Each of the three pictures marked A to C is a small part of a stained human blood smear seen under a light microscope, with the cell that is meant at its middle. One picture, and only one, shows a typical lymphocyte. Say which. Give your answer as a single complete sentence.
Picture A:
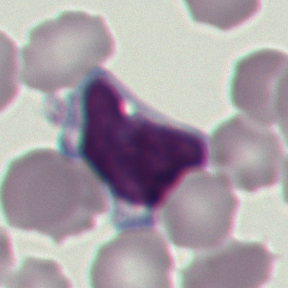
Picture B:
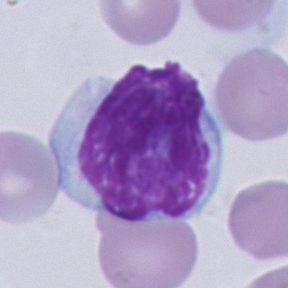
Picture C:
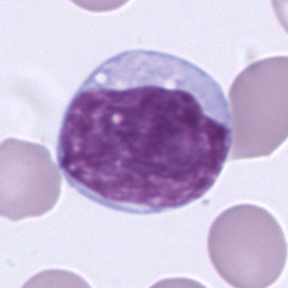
The cell in picture A is the typical lymphocyte.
